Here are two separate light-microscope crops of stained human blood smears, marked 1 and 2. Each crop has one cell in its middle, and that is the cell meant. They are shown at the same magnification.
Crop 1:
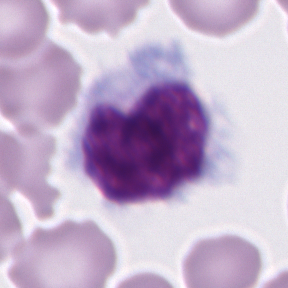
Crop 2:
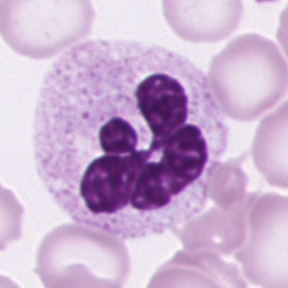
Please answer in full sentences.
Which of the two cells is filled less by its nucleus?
The nucleus fills less of the cell in crop 2 than in crop 1.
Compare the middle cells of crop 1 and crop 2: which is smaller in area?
The cell in crop 1 is smaller; the one in crop 2 has about 2 times its area.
